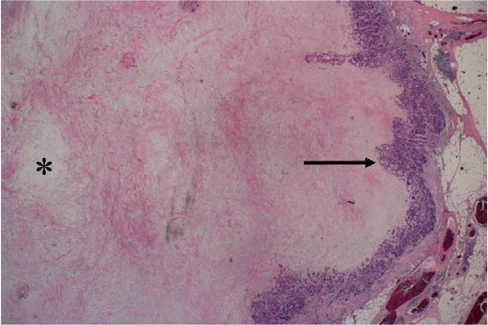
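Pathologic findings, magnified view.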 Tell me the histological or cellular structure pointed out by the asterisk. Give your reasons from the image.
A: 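The asterisk marks a pale, nearly nucleus-free region. The pale region occupies most of the field left of the purple band.
Hence: acellular areas.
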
